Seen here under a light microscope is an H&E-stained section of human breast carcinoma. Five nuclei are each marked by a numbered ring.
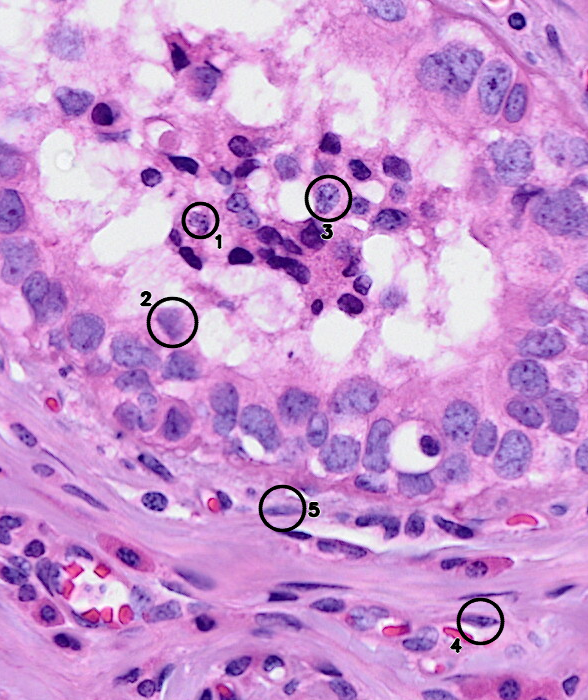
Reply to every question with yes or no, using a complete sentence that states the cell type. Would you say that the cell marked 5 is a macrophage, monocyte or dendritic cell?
No, at number 5 sits a fibroblast, not a macrophage, monocyte or dendritic cell.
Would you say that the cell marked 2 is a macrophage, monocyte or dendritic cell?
No, cell 2 does not count as a macrophage, monocyte or dendritic cell; it is a carcinoma cell.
